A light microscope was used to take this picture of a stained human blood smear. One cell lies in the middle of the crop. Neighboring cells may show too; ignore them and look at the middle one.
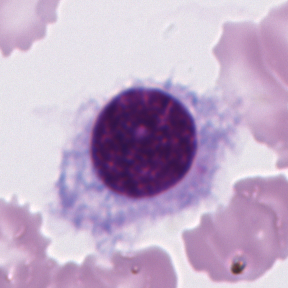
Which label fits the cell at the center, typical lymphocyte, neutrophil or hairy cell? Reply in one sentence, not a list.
Present in the middle of the crop is a hairy cell.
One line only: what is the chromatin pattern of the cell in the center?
Check the chromatin: it is fine and not coarsely clumped.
